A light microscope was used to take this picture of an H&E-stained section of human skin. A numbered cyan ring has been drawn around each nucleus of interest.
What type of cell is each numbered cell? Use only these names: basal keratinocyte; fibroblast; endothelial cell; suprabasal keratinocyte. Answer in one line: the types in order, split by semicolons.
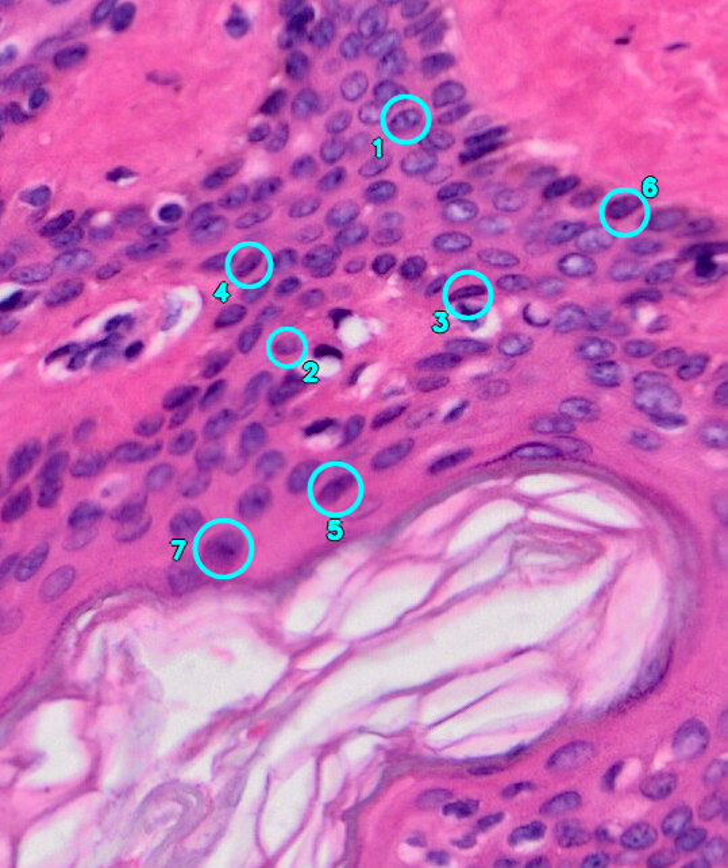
suprabasal keratinocyte; basal keratinocyte; basal keratinocyte; basal keratinocyte; suprabasal keratinocyte; basal keratinocyte; suprabasal keratinocyte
